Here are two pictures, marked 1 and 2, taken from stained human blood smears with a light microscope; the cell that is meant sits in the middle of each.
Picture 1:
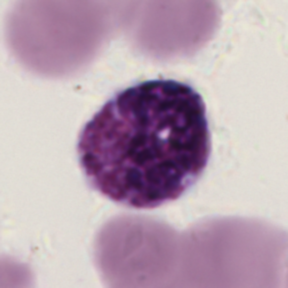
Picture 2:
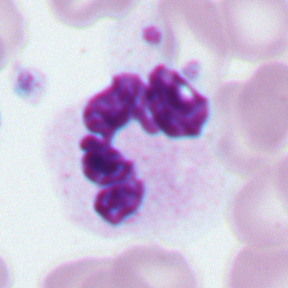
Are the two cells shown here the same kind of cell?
no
